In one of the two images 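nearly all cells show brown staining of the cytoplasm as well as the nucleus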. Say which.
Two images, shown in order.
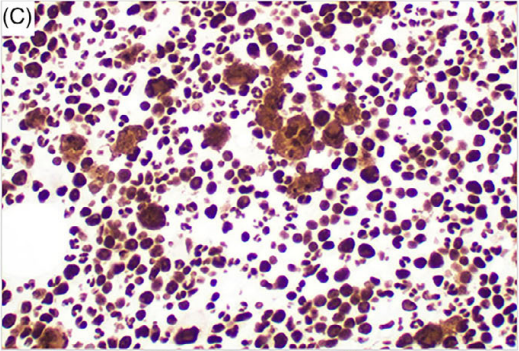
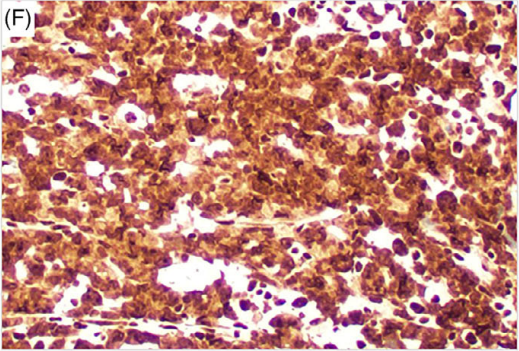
The second image.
